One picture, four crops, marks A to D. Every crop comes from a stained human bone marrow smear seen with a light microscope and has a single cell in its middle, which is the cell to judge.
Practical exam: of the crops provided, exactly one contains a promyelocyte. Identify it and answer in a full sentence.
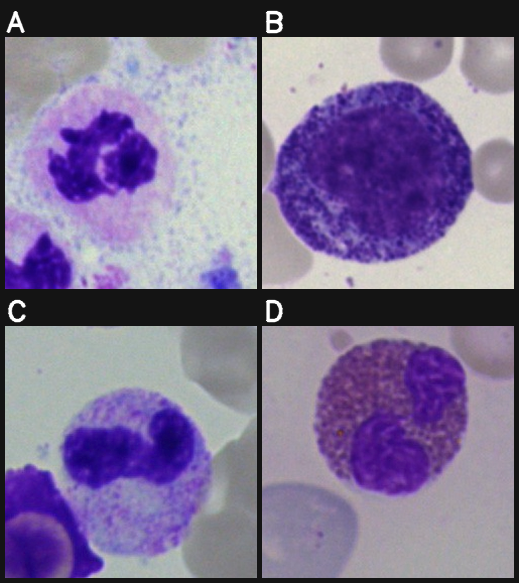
The crop that has a promyelocyte in the middle is crop B.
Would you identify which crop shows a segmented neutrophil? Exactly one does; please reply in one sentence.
Among the crops provided, a segmented neutrophil occupies the center of crop A.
